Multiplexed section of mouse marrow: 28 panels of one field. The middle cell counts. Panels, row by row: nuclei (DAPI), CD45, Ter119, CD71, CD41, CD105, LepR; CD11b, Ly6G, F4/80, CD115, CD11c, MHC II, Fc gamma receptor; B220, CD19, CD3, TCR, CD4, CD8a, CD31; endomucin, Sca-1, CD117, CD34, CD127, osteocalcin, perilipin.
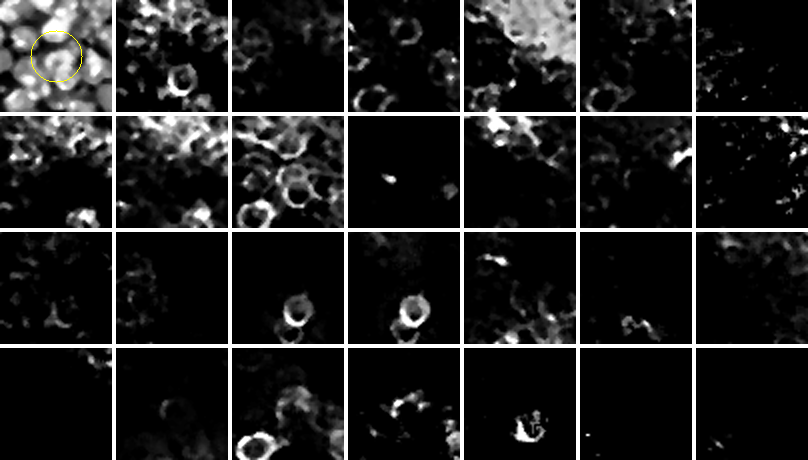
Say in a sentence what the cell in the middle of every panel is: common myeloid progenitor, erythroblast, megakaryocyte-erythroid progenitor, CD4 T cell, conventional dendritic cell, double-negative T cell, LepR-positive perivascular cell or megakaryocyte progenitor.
This is a common myeloid progenitor.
